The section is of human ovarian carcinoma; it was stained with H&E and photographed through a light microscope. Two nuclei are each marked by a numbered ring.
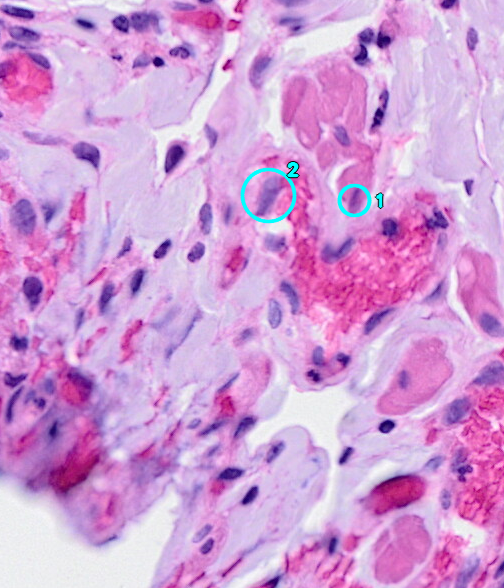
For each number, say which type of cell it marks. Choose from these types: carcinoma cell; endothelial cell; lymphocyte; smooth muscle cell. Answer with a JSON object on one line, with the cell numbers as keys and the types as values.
{"1": "smooth muscle cell", "2": "endothelial cell"}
